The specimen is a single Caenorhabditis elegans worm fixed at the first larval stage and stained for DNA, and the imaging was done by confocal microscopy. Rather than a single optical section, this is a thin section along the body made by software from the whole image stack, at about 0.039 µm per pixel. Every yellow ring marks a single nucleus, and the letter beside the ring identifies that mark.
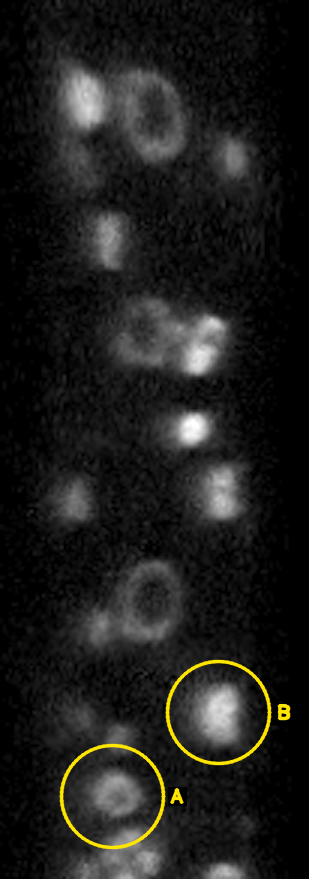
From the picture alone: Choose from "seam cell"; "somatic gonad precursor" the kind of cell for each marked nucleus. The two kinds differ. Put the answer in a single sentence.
A is in a somatic gonad precursor and B is in a seam cell.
